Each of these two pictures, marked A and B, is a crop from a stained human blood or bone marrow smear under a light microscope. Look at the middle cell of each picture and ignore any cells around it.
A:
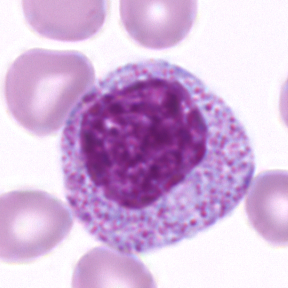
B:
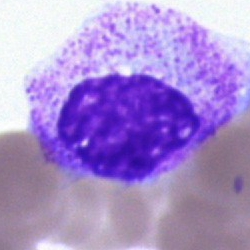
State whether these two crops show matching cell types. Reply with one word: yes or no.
yes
